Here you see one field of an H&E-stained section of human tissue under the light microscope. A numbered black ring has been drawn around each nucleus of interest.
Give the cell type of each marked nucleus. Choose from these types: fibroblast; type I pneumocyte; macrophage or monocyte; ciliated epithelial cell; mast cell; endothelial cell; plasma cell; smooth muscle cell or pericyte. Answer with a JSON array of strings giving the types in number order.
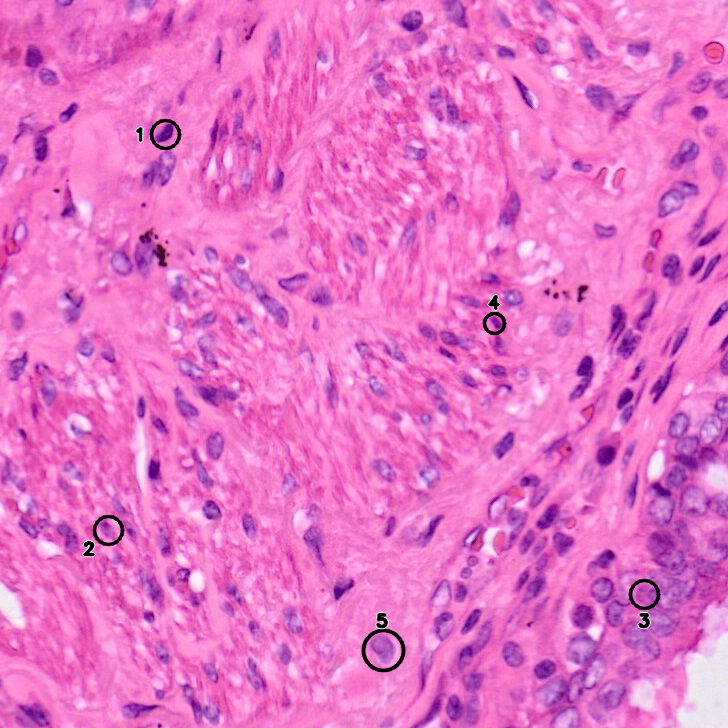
["mast cell", "smooth muscle cell or pericyte", "ciliated epithelial cell", "smooth muscle cell or pericyte", "fibroblast"]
